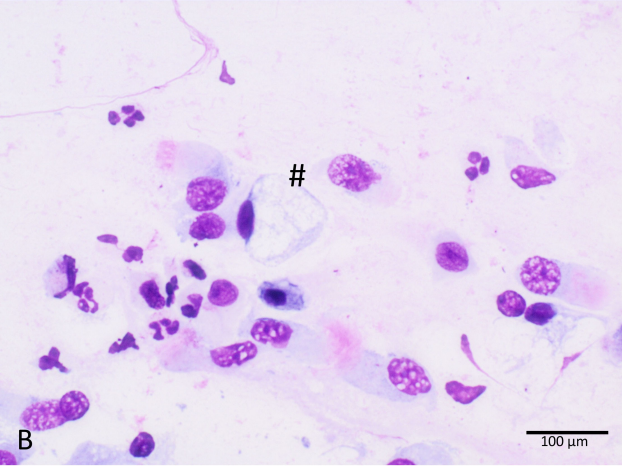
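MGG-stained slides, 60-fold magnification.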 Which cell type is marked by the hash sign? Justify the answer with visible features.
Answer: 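The marked cell is large, with pale, clear, finely netted cytoplasm. Its nucleus is dark, narrow and pushed to the cell's edge. So: mucinous cell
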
